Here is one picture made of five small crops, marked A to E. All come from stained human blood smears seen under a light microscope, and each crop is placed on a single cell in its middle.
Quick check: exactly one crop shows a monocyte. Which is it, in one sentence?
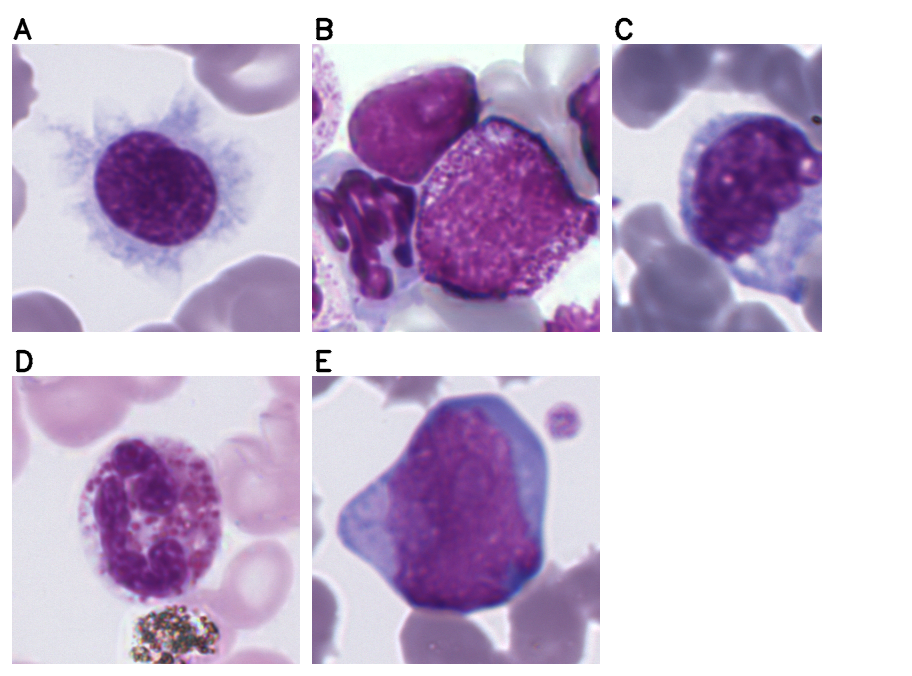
Crop C is the correct crop, and it shows a monocyte.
